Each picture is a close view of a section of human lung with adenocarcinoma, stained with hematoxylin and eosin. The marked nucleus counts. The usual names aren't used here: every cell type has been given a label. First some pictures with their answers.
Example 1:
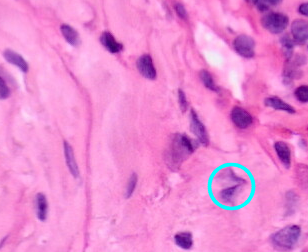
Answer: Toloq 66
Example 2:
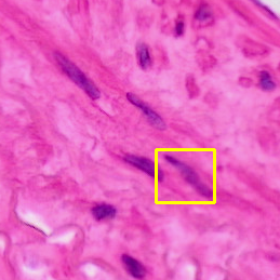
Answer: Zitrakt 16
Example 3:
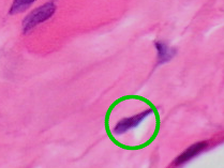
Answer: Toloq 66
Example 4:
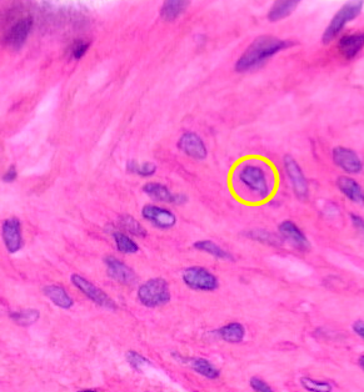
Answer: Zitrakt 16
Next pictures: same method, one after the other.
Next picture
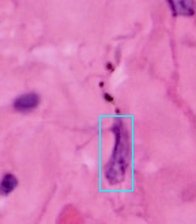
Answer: Toloq 66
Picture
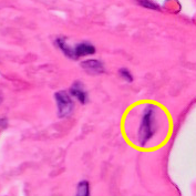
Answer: Toloq 66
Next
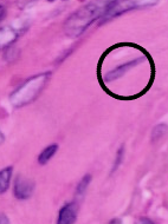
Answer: Toloq 66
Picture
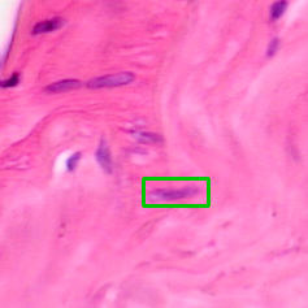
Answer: Zitrakt 16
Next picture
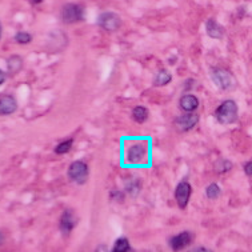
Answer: Zitrakt 16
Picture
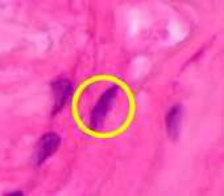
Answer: Zitrakt 16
